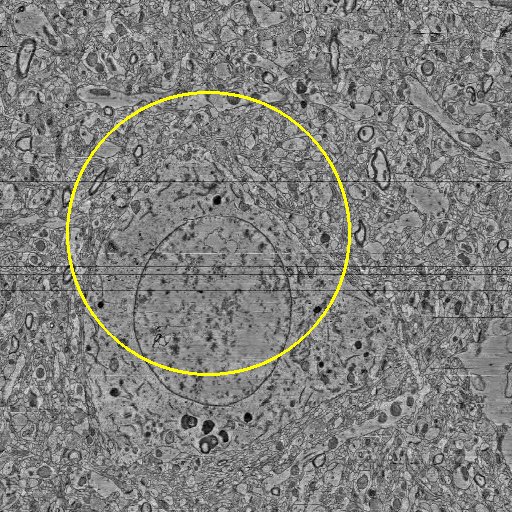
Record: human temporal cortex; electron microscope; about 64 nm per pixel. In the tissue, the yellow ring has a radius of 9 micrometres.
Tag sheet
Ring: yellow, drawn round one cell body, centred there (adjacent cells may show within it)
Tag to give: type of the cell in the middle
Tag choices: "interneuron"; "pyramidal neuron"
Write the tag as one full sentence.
I tag the cell centred in the yellow ring as a pyramidal neuron in this picture.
